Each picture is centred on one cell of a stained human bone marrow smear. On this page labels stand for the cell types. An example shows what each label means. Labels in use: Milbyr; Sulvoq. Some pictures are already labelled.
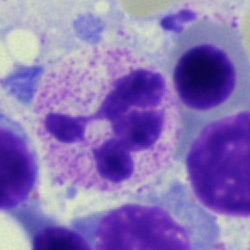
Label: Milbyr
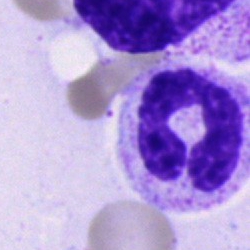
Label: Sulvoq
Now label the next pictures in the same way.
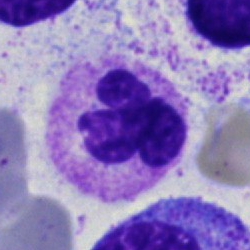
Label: Sulvoq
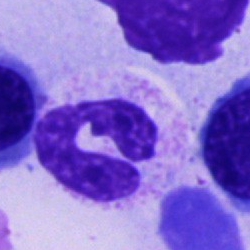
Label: Milbyr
